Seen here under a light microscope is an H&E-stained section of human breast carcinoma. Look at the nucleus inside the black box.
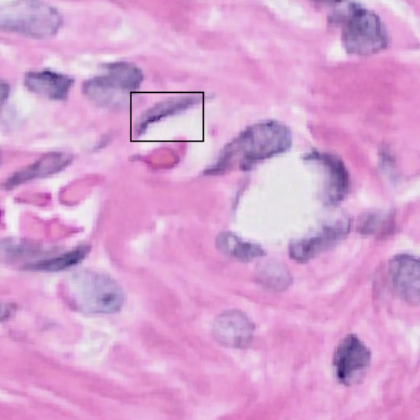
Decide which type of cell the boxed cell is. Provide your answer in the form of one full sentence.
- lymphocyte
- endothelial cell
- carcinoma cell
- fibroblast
Microscopically, the boxed cell is categorized as an endothelial cell.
